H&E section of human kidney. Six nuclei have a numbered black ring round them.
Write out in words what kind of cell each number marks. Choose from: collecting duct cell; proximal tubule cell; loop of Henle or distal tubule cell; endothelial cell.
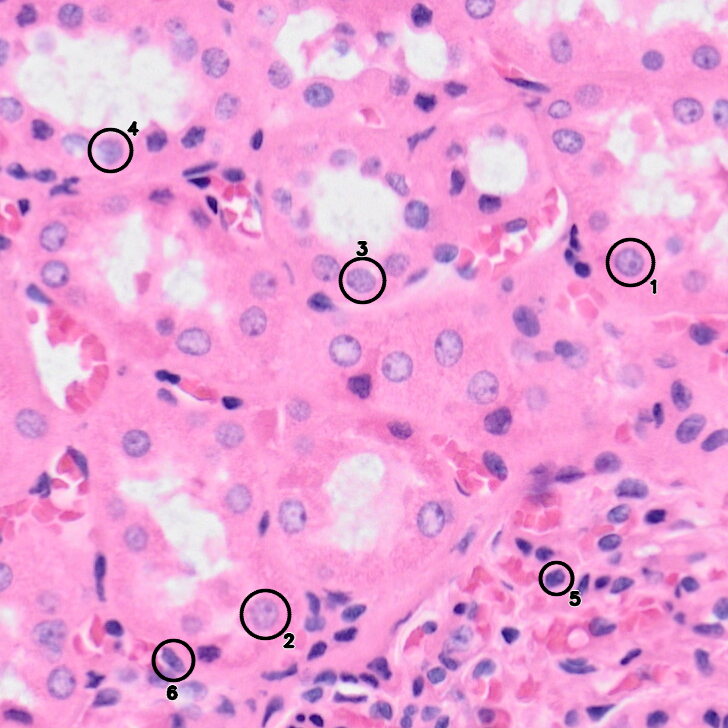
Cells 1 and 2 are proximal tubule cells. Cells 3 and 4 are loop of Henle or distal tubule cells. Cells 5 and 6 are endothelial cells.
